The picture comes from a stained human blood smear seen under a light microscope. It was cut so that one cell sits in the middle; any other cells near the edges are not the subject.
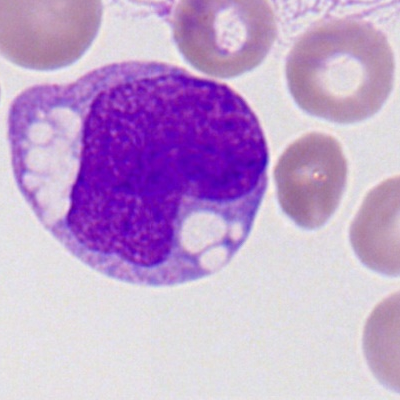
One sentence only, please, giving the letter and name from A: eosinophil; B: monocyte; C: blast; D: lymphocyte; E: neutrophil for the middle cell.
At the centre of the crop lies a monocyte, which makes option B correct.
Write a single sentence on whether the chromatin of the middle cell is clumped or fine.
The chromatin is delicate and fine, lacking coarse clumping entirely.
